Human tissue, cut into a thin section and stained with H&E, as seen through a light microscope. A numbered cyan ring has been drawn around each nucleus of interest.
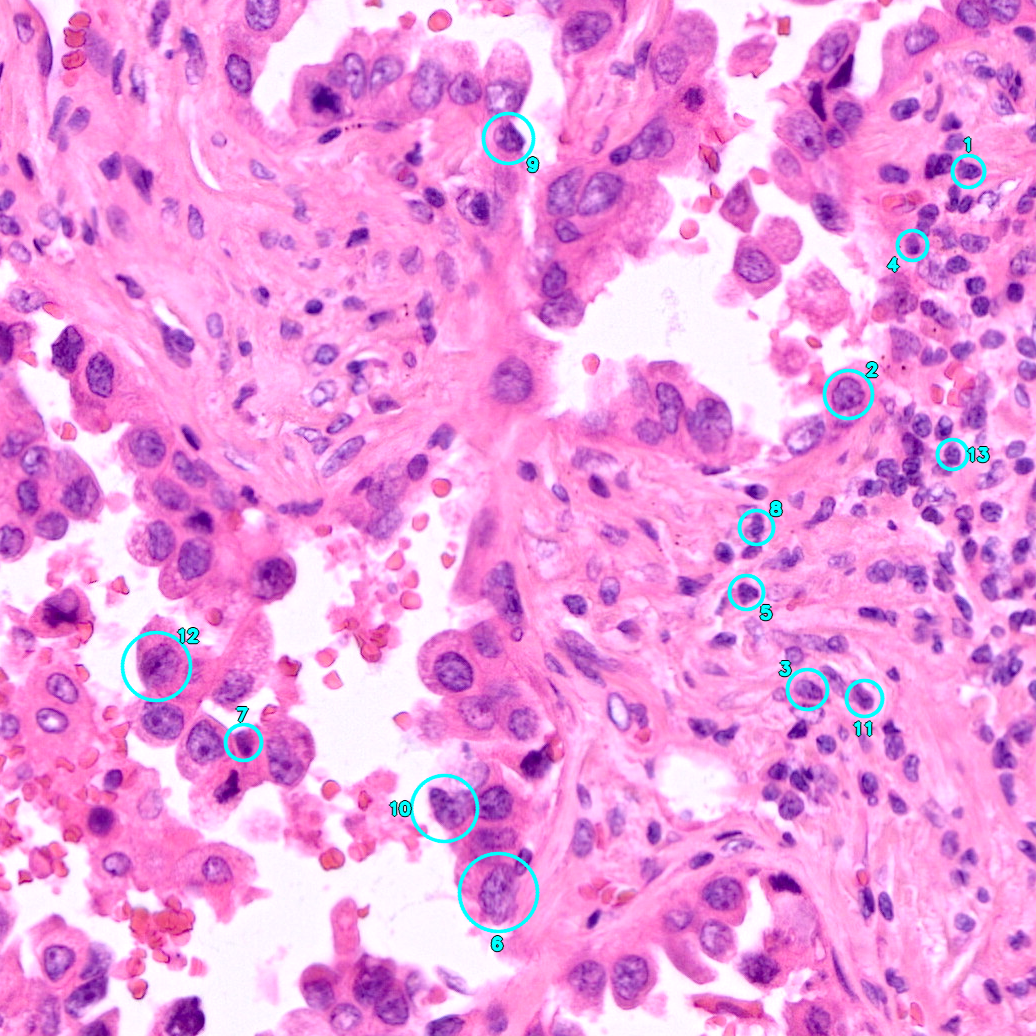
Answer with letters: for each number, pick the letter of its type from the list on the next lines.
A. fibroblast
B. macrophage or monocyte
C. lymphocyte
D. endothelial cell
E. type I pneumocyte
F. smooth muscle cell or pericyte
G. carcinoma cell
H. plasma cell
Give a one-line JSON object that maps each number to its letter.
{"1": "C", "2": "G", "3": "H", "4": "C", "5": "C", "6": "G", "7": "G", "8": "C", "9": "G", "10": "G", "11": "H", "12": "G", "13": "C"}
